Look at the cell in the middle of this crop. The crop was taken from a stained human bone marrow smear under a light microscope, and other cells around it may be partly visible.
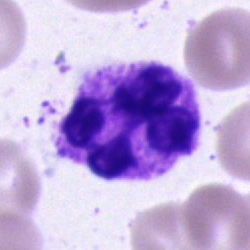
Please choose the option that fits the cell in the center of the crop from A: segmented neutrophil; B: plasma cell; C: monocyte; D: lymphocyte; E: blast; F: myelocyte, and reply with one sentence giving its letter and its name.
Of the choices given, option A is right, as the central cell is a segmented neutrophil.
